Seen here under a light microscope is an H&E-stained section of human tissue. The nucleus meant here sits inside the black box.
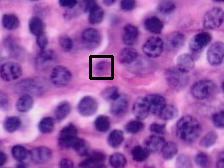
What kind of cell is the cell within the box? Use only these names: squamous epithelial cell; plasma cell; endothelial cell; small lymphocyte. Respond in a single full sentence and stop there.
Cytologically, the cell within the box is to be regarded as an endothelial cell.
